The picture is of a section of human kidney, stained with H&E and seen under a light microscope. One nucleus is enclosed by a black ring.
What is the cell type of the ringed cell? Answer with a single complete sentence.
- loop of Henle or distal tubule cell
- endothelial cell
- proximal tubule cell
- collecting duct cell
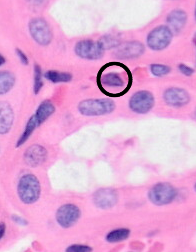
As far as its identity is concerned, the ringed cell is an endothelial cell.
